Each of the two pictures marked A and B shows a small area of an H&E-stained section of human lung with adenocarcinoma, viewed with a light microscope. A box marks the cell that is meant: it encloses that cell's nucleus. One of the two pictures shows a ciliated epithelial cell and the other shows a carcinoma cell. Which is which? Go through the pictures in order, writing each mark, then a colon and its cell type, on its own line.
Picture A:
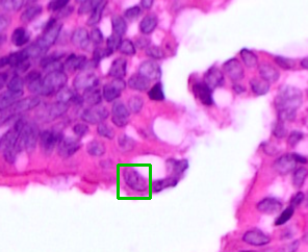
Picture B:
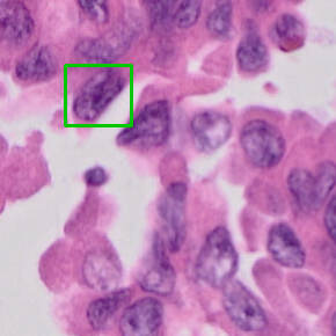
A: ciliated epithelial cell
B: carcinoma cell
